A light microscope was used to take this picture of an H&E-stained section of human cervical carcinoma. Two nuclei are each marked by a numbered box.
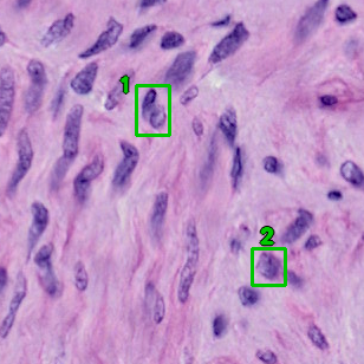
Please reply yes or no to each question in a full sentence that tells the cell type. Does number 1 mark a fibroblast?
Yes, it is a fibroblast that number 1 identifies.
